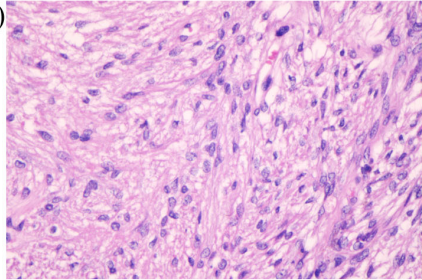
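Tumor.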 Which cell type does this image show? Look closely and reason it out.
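Spindle cells. Elongated cells with tapering ends. Nuclei are oval to elongated. Pink cytoplasm drawn out into long processes.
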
